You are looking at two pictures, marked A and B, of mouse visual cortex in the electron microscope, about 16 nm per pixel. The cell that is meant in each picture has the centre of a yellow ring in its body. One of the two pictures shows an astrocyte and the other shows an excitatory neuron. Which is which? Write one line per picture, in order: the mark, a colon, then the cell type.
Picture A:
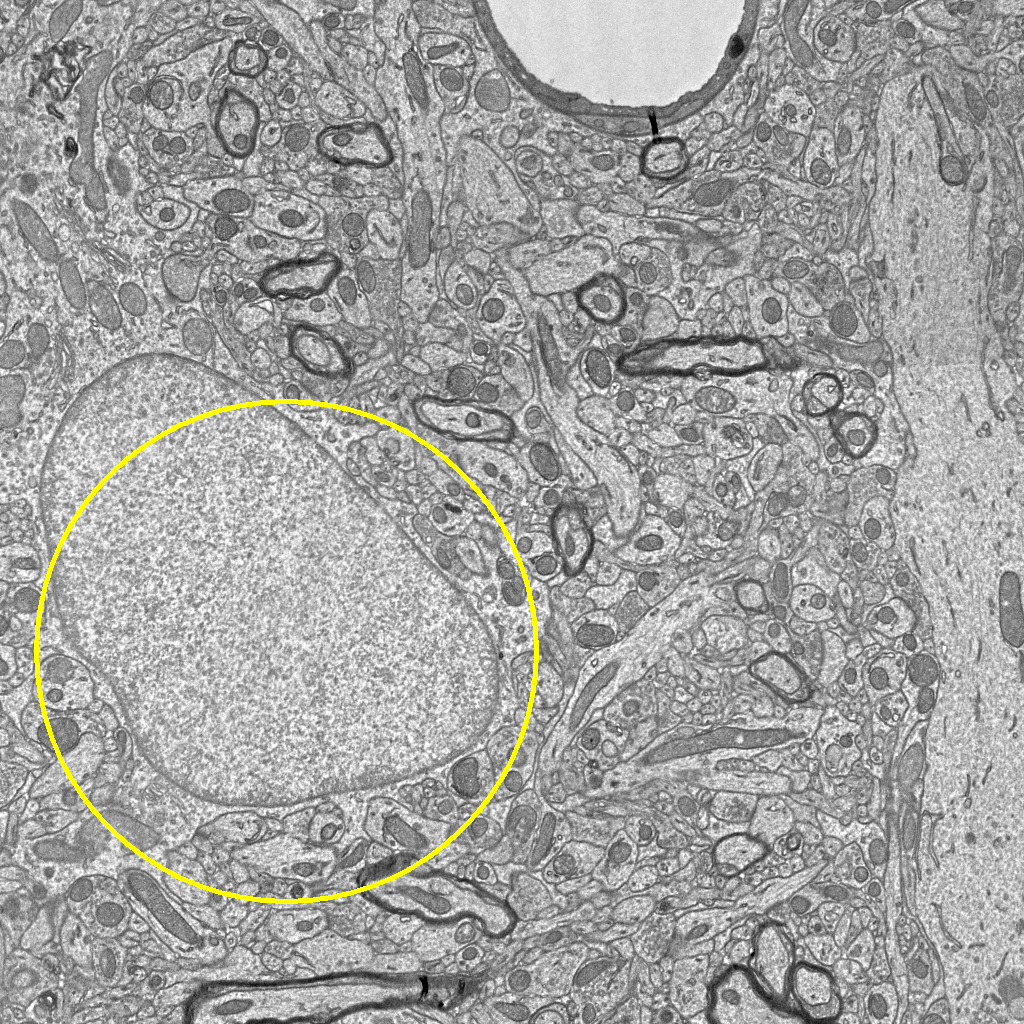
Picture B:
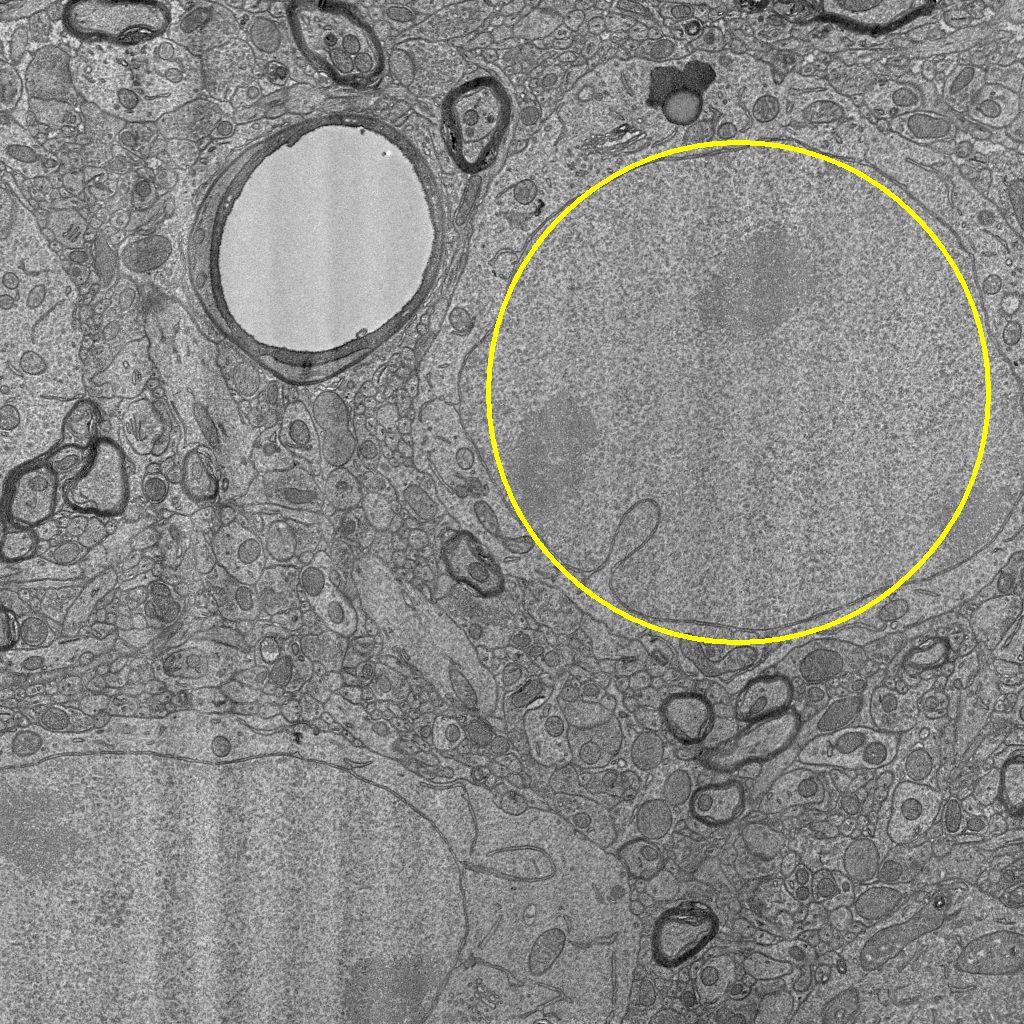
A: astrocyte
B: excitatory neuron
